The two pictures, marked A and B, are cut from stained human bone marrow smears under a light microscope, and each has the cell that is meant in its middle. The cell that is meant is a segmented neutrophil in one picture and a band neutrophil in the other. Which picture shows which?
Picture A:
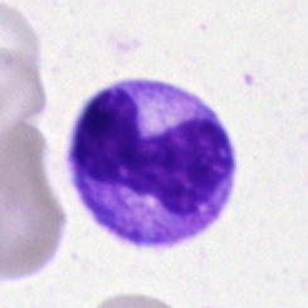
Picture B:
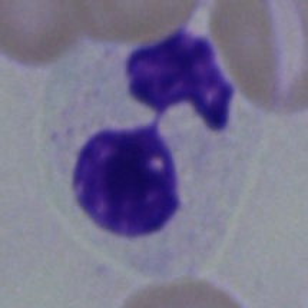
A: band neutrophil
B: segmented neutrophil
